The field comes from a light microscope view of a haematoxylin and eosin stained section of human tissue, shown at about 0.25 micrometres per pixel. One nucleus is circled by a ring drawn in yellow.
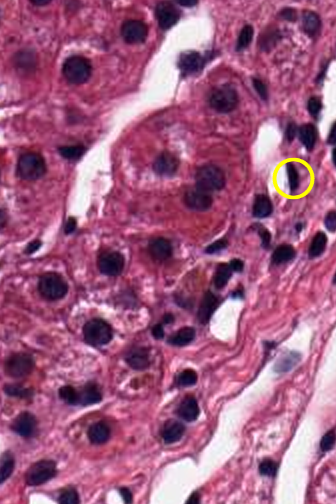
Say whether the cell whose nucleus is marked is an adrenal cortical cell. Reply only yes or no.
no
